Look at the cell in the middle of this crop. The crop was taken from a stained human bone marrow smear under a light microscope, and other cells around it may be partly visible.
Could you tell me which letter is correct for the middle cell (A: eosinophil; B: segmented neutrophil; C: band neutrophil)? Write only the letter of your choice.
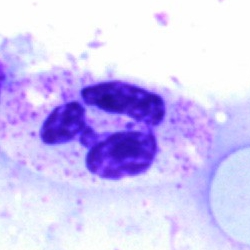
B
